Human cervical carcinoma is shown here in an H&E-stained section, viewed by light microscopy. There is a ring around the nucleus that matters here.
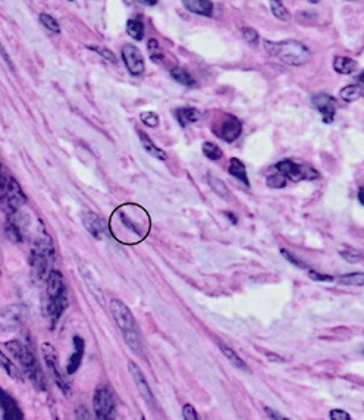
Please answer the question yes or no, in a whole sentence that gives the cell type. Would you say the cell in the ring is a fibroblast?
Yes, the cell in the ring is accurately described as a fibroblast.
